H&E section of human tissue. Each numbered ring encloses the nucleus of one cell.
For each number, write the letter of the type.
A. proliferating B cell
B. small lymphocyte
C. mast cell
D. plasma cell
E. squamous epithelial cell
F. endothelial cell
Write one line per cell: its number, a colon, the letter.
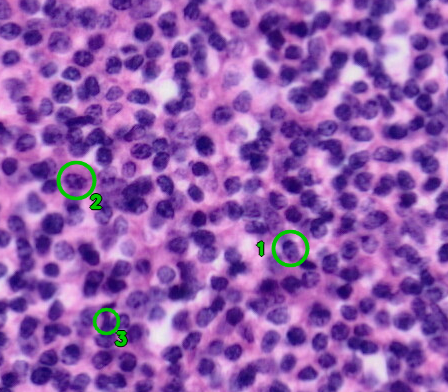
1: B
2: D
3: B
